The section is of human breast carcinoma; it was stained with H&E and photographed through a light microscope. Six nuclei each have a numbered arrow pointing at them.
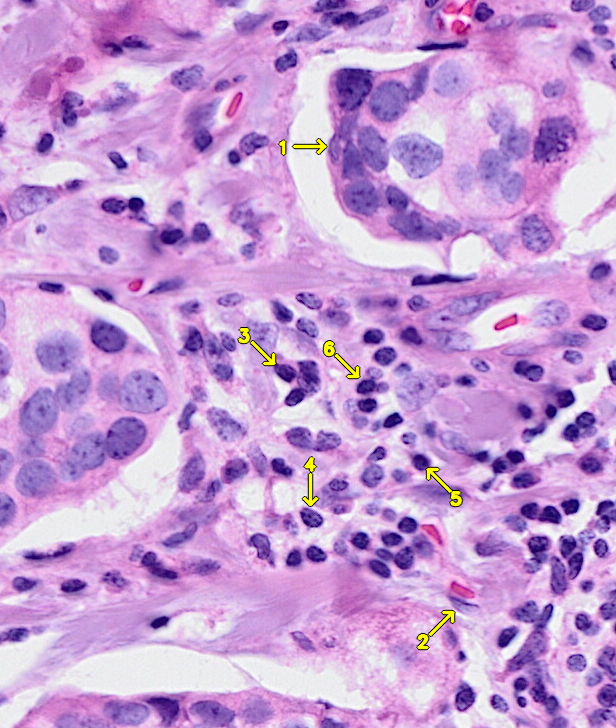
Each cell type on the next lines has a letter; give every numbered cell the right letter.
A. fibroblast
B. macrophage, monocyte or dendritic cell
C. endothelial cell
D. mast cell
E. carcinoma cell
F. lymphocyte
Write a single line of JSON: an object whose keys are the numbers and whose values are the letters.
{"1": "E", "2": "C", "3": "F", "4": "F", "5": "F", "6": "F"}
